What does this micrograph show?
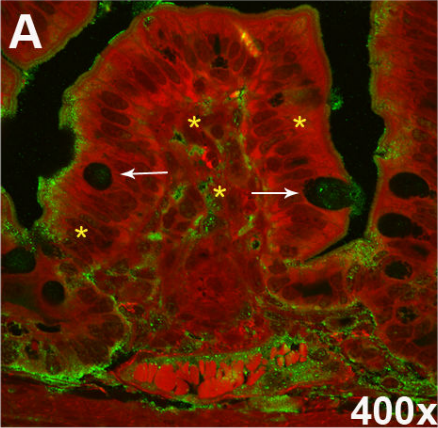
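This is a villus of small intestine lined by a single layer of tall columnar epithelial cells, shown in red fluorescence. Scattered among the columnar cells are rounded, dark, unstained goblet cells. The core of the villus holds the lamina propria, with loosely arranged cells and small vessels running toward the base. Green signal lies along the epithelial surface facing the dark lumen and in patches within the core and at the base. Neighbouring villi are seen at the left and right edges.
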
